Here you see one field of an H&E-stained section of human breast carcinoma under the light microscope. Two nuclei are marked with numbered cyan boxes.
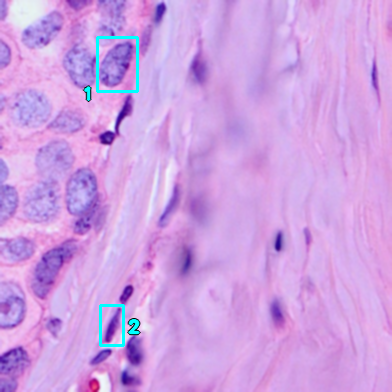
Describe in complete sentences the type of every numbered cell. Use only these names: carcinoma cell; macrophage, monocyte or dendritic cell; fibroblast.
Cell 1 is a carcinoma cell and cell 2 is a fibroblast.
